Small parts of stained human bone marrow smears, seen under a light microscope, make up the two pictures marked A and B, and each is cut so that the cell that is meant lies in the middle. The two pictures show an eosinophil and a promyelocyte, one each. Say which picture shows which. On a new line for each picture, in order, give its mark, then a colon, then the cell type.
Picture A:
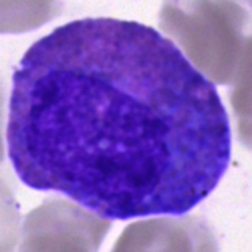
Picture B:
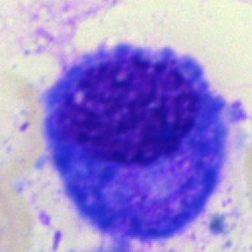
A: eosinophil
B: promyelocyte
